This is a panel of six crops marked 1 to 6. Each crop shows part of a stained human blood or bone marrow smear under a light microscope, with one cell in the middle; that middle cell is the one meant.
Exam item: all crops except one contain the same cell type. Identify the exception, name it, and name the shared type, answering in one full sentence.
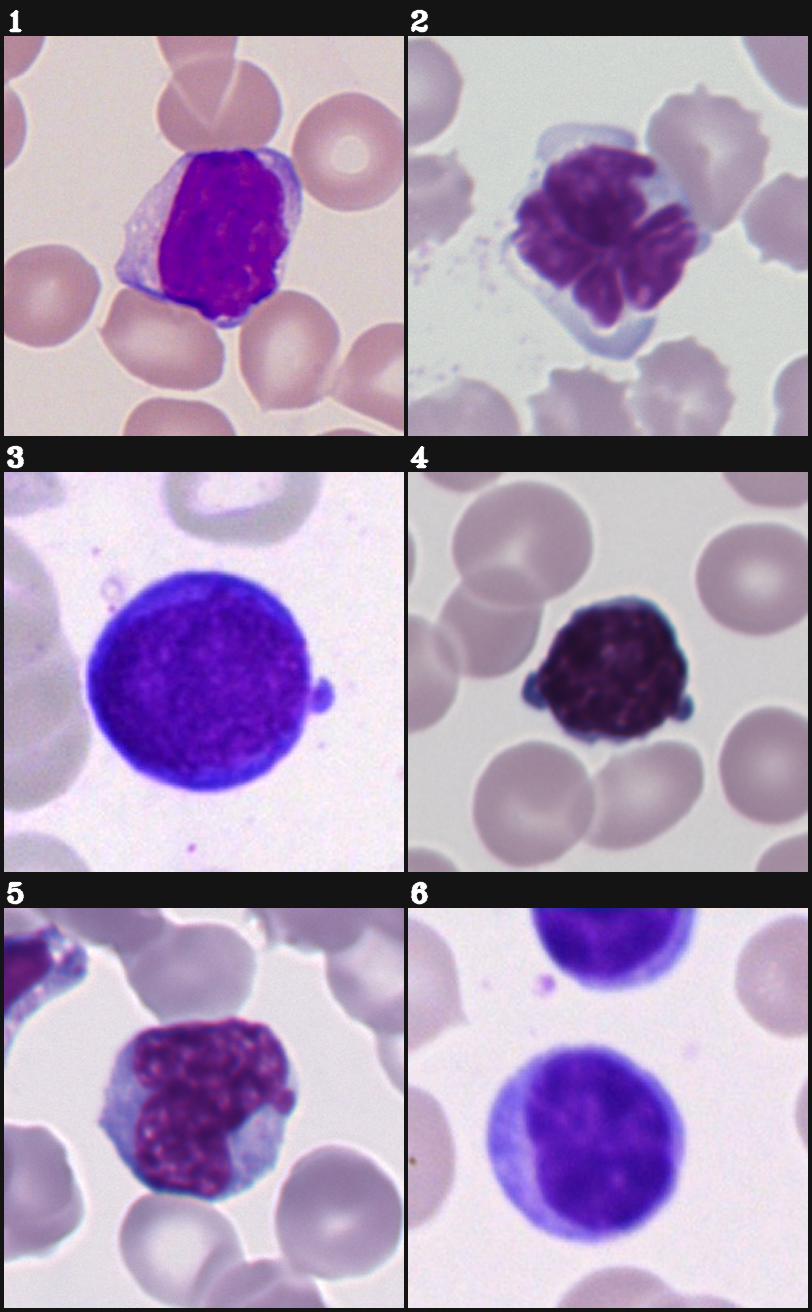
Crop 3 is the only one that is a blast; all the others show lymphocytes.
